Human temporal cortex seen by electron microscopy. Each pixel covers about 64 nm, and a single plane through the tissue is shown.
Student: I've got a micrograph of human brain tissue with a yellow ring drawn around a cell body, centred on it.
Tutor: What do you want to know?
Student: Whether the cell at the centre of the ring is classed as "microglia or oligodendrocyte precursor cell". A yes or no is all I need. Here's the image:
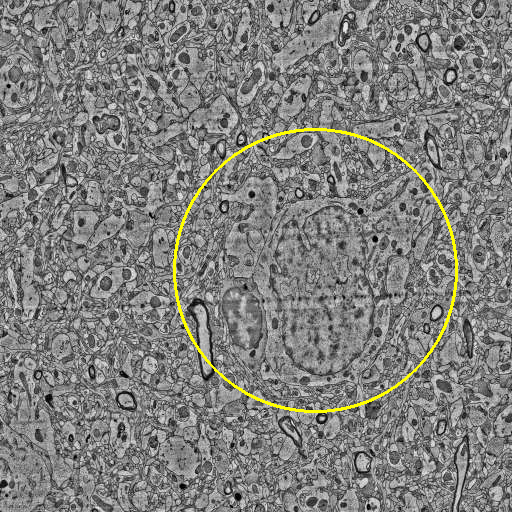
no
